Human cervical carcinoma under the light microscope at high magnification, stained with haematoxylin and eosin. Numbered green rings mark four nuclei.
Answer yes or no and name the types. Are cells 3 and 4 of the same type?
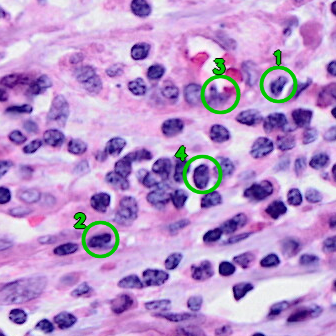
No, that does not hold; cell 3 is an endothelial cell and cell 4 is a lymphocyte.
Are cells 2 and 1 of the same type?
Yes, cells 2 and 1 are both lymphocytes and thus of one type.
